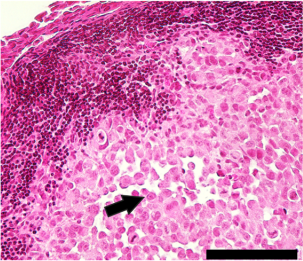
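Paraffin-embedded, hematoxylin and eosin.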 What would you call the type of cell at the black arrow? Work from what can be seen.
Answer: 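Tumor cells. The arrow points into a sheet of large pale pink cells with round nuclei. Small dark-nucleated cells form only a band along the upper left edge.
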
